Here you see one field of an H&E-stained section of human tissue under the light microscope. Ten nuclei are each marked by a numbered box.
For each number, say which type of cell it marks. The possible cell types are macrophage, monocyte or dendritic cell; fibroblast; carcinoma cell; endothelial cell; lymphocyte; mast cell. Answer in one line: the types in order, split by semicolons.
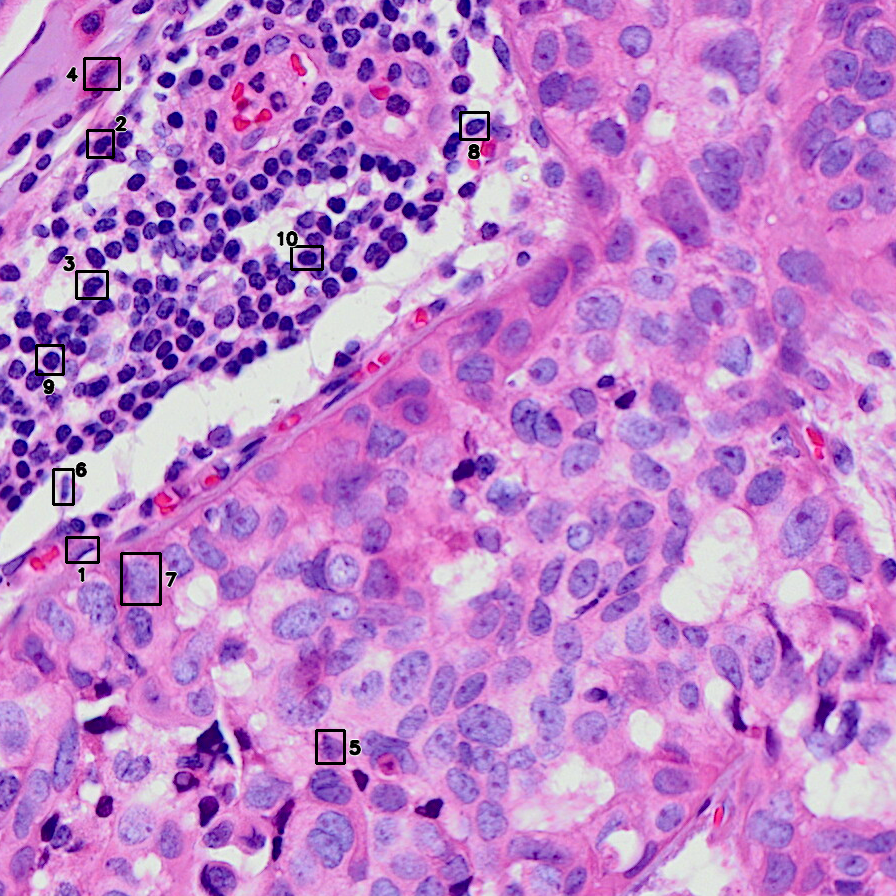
endothelial cell; lymphocyte; lymphocyte; mast cell; carcinoma cell; lymphocyte; carcinoma cell; lymphocyte; lymphocyte; lymphocyte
